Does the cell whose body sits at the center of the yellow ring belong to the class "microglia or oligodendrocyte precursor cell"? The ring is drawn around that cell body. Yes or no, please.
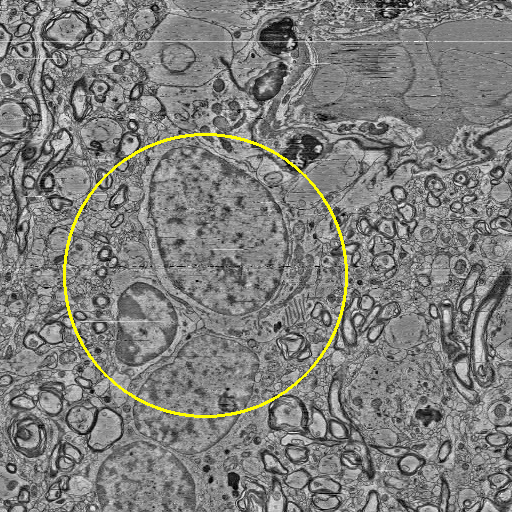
Yes, it belongs to that class.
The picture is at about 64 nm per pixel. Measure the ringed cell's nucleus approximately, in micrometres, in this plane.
In this plane, approximately 12 by 8 micrometers.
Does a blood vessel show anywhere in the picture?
Yes, a vessel shows somewhere in the image.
